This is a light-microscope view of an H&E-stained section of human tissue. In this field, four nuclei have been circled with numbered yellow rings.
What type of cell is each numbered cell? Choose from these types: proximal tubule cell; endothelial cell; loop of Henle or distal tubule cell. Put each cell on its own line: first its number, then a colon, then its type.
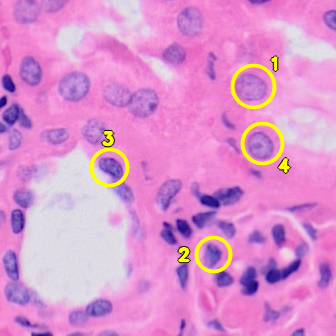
1: proximal tubule cell
2: endothelial cell
3: loop of Henle or distal tubule cell
4: proximal tubule cell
